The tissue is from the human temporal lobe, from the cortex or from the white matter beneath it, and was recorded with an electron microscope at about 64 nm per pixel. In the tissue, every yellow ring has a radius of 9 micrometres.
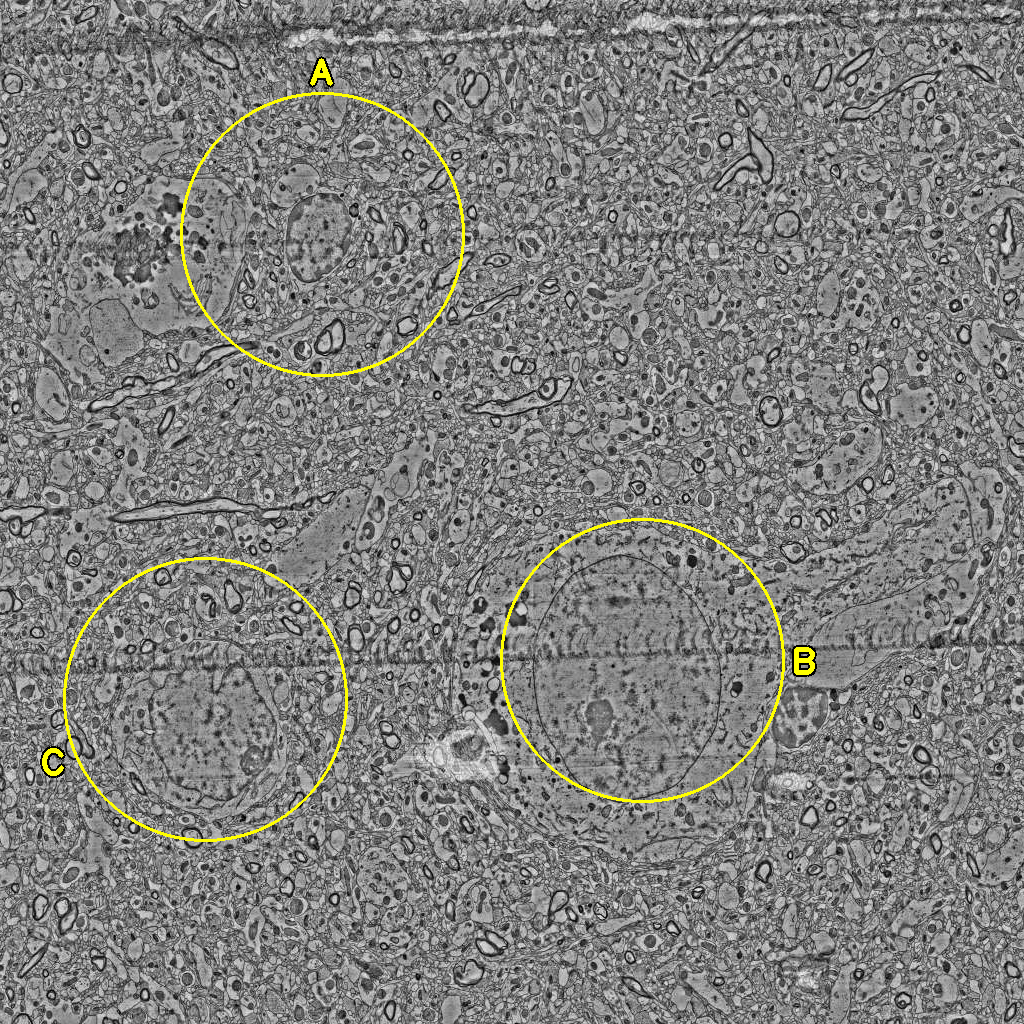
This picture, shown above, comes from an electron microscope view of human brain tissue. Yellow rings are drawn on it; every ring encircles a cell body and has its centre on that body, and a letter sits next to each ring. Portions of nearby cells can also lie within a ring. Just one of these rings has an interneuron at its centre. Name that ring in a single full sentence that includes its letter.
In the picture, ring C has the cell asked for at its centre.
